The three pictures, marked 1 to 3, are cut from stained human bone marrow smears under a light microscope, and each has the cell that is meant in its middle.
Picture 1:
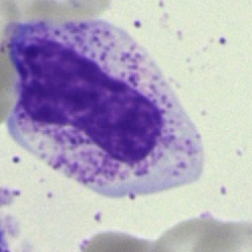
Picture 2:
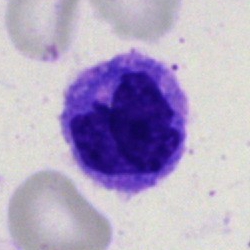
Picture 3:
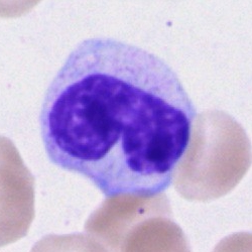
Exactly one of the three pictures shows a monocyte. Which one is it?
2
